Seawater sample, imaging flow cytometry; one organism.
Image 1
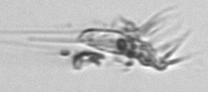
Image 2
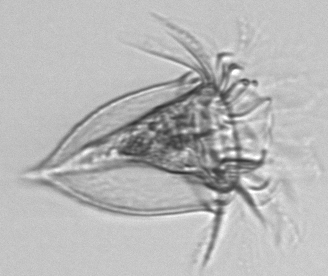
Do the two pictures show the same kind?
Yes, both are tintinnids.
